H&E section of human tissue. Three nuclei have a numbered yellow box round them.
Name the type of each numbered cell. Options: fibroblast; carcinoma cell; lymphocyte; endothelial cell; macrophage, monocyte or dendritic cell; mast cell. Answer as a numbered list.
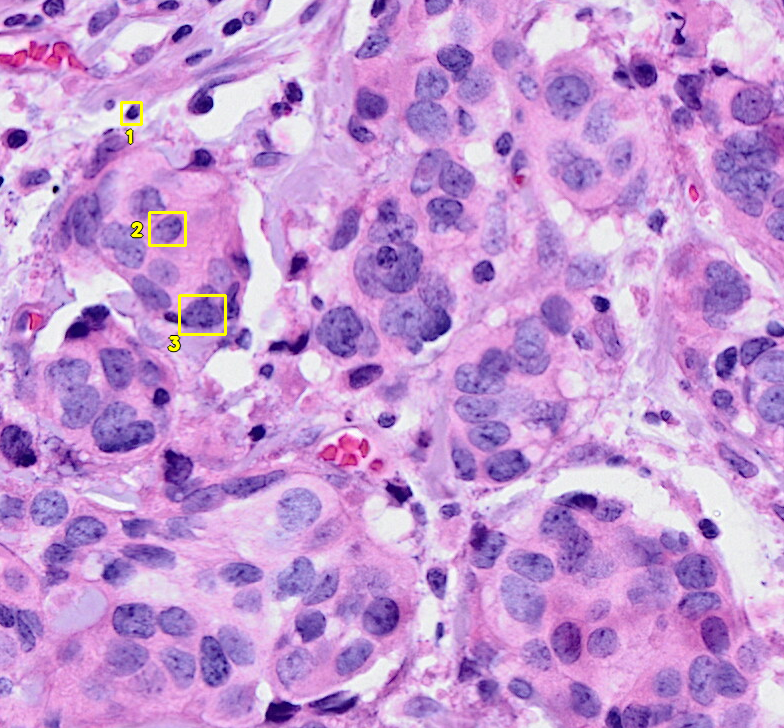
1. lymphocyte
2. carcinoma cell
3. carcinoma cell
